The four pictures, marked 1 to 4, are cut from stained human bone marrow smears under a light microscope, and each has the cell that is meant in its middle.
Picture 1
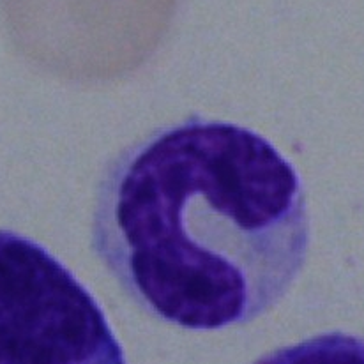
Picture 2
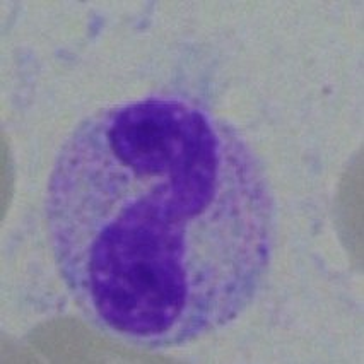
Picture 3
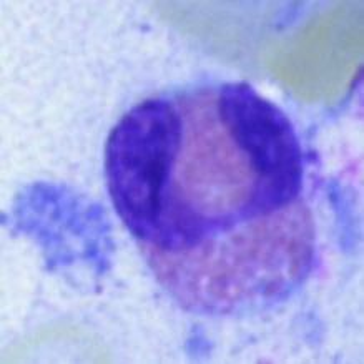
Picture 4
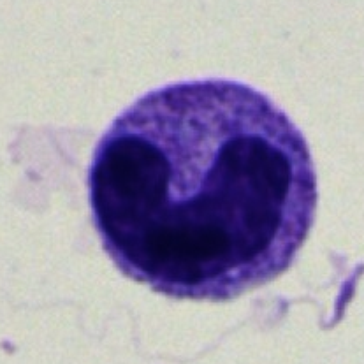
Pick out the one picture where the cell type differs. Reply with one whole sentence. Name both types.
Picture 3 is the odd one out: it shows an eosinophil, while the others show band neutrophils.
